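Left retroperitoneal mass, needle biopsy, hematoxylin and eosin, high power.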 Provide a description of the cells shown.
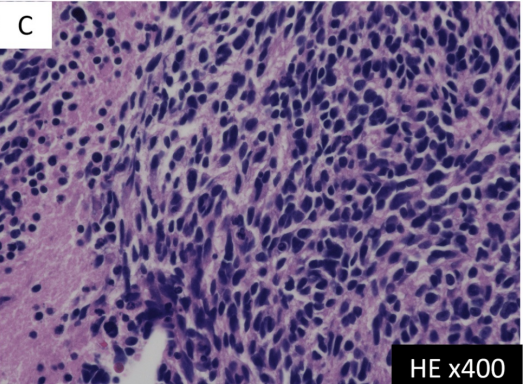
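Tumor tissue composed of crowded cells with dark, hyperchromatic nuclei and very little cytoplasm. The nuclei vary considerably in size and shape: many are elongated or spindle-like, others oval or irregular, and they are packed closely, often overlapping, in streaming sheets. Between groups of cells lie pale pink, fibrillary or necrotic-looking areas with scattered small dark nuclei. No glands, lumens or organized structures are seen.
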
